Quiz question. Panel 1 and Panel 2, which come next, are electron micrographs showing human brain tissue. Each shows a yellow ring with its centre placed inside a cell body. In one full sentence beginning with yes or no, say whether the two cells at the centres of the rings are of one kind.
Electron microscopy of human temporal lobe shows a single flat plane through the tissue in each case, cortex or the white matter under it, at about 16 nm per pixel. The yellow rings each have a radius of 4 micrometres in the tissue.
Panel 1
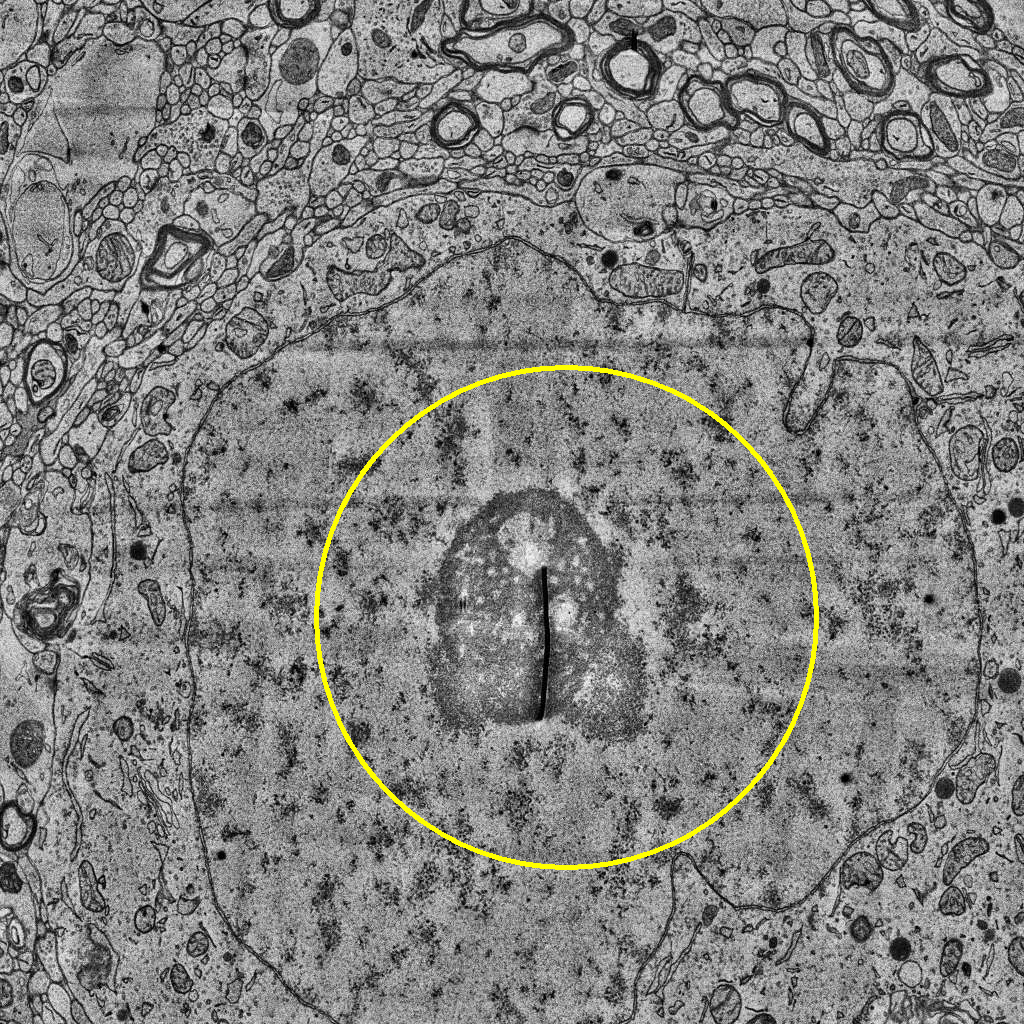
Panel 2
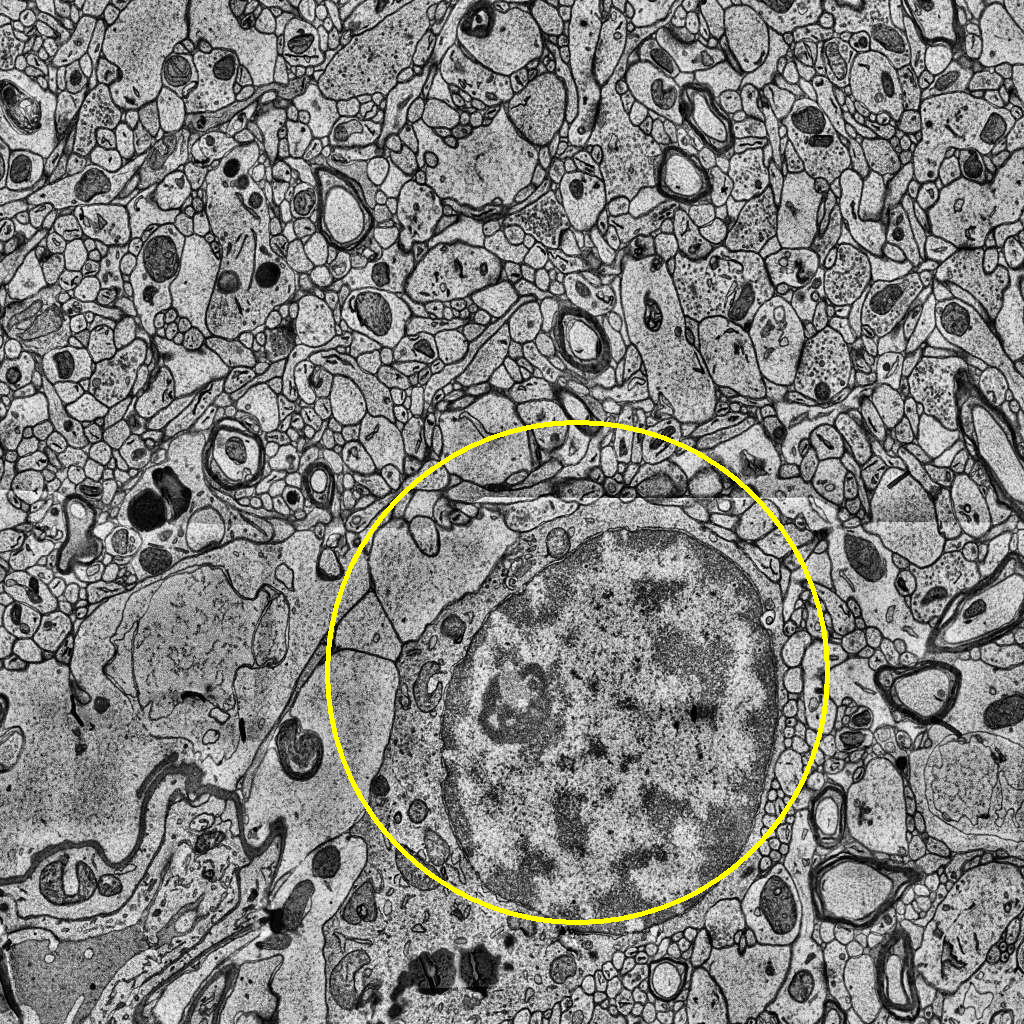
No, Panel 1 and Panel 2 show two kinds of cell at the centre of the ring.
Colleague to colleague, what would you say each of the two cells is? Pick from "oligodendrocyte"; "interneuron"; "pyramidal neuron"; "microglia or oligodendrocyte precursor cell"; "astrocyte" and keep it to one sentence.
The first picture shows a pyramidal neuron at the ring centre and the second shows an oligodendrocyte.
